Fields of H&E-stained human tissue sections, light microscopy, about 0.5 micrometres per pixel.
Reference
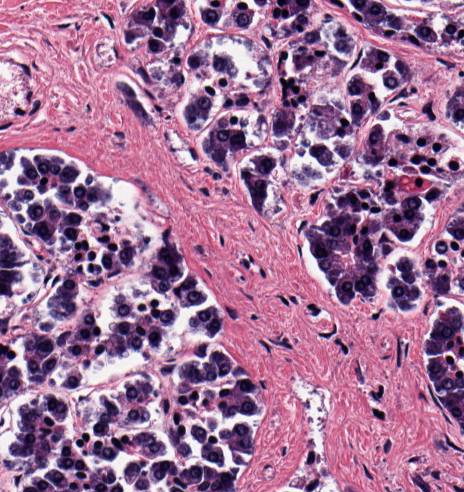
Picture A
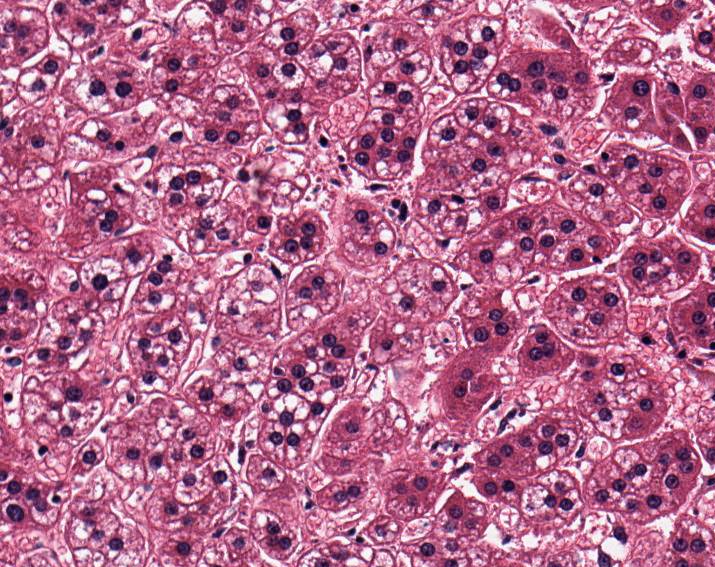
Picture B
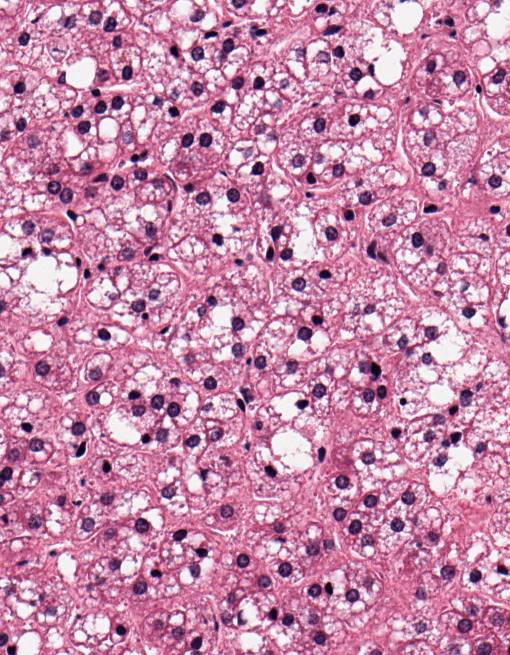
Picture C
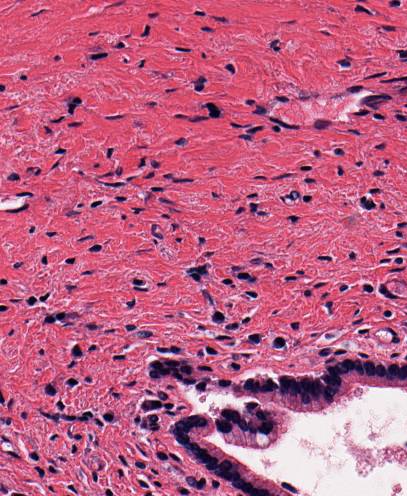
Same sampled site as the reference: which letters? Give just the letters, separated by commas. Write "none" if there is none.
C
